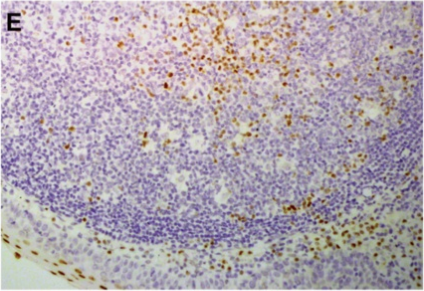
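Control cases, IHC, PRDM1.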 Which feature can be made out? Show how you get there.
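Germinal centre. A rounded follicle of paler, larger cells with scattered brown nuclei. A dense rim of small dark blue lymphocytes around it. A surface epithelium with brown nuclei along the lower edge.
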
